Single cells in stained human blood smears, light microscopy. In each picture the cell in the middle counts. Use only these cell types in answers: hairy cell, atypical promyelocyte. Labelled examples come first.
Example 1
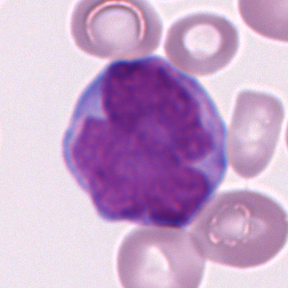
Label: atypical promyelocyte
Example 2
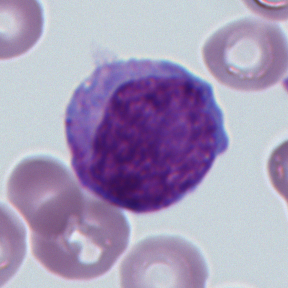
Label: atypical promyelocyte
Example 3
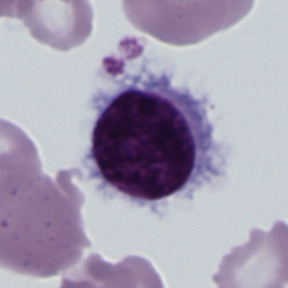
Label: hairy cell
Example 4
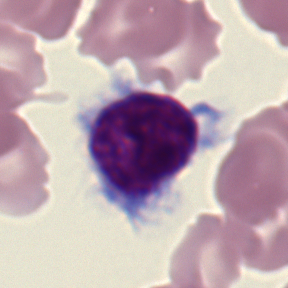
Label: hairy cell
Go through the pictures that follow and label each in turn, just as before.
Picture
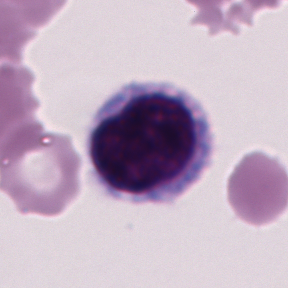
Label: hairy cell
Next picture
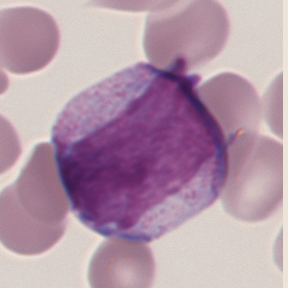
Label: atypical promyelocyte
